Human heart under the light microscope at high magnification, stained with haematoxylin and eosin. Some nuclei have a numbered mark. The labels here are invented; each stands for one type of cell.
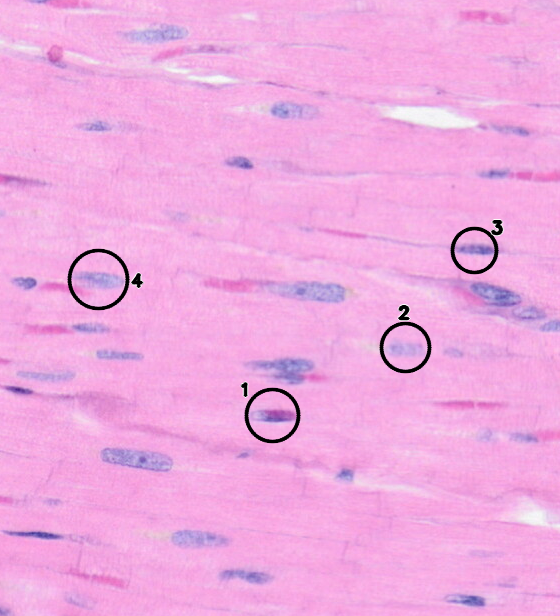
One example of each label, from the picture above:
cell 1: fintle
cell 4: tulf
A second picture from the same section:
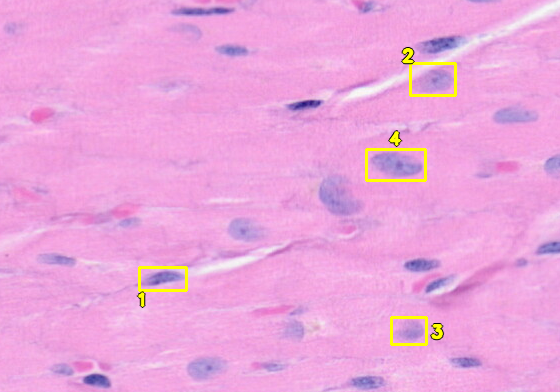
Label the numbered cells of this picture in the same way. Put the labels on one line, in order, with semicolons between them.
fintle; tulf; tulf; tulf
